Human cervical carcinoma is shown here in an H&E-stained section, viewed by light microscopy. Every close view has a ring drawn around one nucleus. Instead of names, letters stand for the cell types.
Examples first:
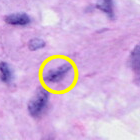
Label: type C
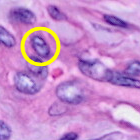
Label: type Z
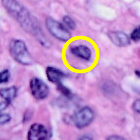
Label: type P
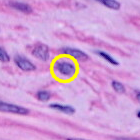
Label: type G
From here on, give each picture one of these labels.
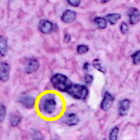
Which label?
type P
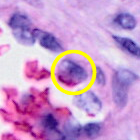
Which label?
type Z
